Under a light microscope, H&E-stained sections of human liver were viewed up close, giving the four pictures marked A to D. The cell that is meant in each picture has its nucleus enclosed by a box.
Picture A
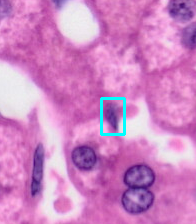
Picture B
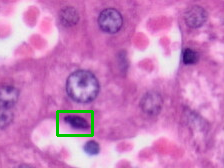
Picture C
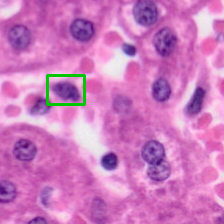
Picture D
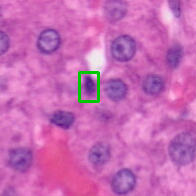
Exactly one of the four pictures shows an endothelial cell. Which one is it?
A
